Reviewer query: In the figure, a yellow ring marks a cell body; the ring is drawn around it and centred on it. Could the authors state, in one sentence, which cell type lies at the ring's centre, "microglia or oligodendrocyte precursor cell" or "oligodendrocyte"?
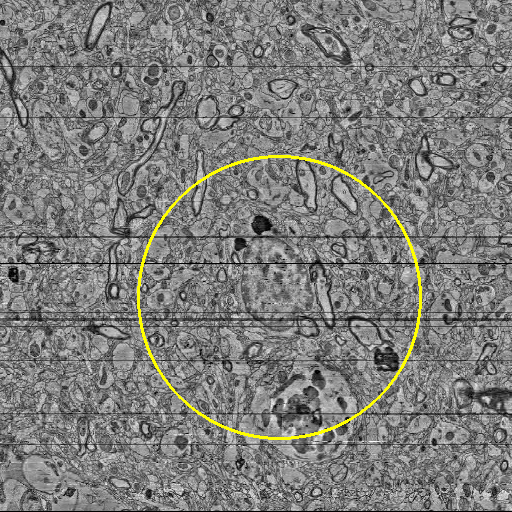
The ring is centred on an oligodendrocyte.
